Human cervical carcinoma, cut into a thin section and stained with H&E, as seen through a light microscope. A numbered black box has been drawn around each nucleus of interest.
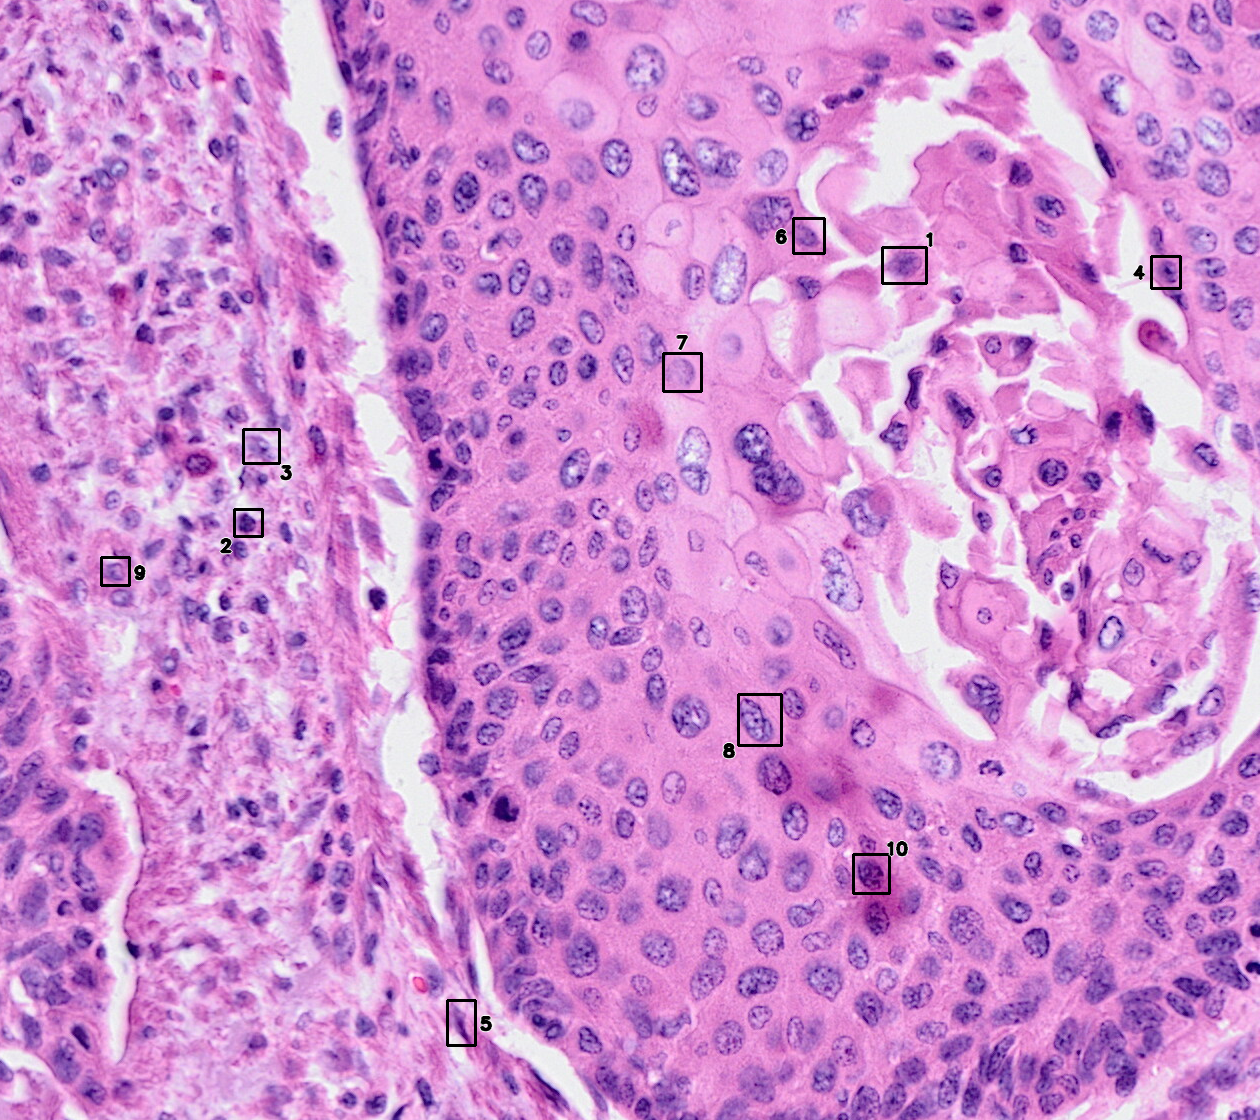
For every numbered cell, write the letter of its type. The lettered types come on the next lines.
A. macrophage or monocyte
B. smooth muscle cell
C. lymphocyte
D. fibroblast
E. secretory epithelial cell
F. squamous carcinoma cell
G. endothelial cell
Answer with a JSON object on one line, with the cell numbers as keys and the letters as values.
{"1": "F", "2": "C", "3": "D", "4": "F", "5": "D", "6": "F", "7": "F", "8": "F", "9": "G", "10": "F"}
